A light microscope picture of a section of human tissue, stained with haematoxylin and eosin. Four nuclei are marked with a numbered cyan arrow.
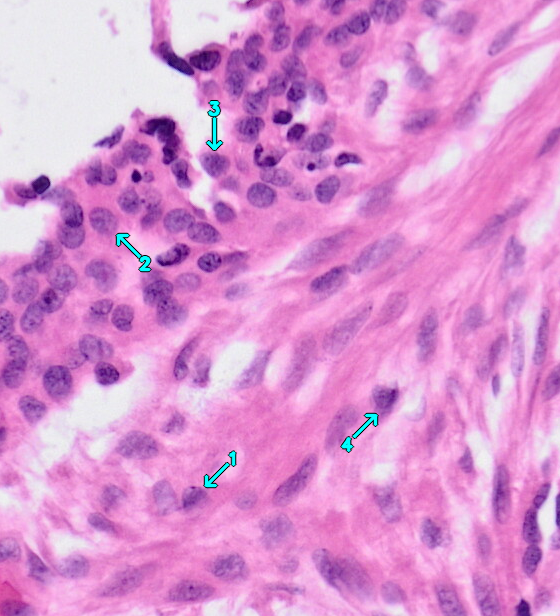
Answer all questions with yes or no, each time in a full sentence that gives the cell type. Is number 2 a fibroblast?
No, cell 2 is a carcinoma cell and should not be called a fibroblast.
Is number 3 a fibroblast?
No, cell 3 counts as a carcinoma cell rather than as a fibroblast.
